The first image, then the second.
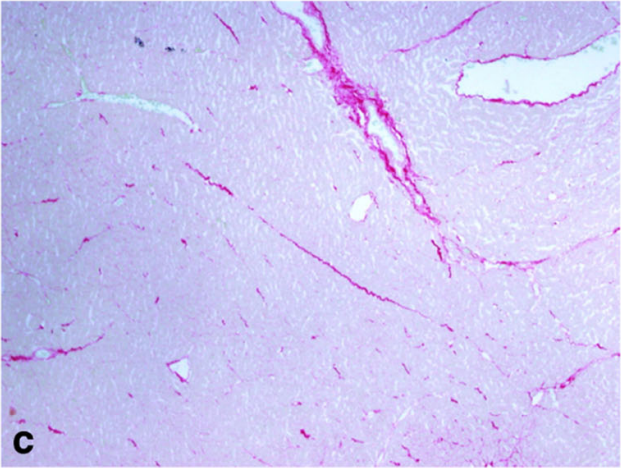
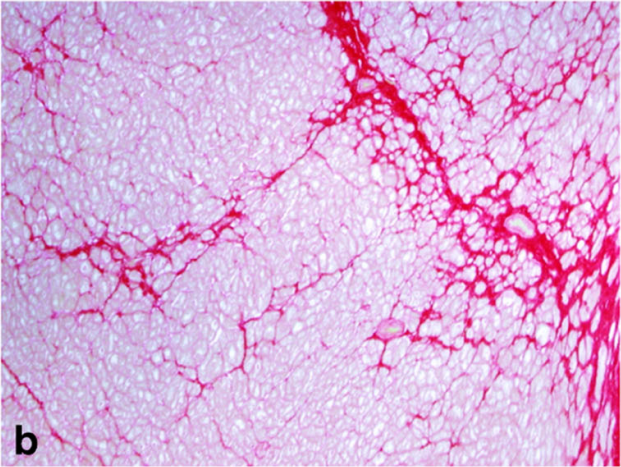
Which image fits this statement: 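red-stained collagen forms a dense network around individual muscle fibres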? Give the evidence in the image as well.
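First image: red stain is confined to thin scattered lines and vessel walls. Second image: red lines surround many single fibres and form thick bands.
The second image.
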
